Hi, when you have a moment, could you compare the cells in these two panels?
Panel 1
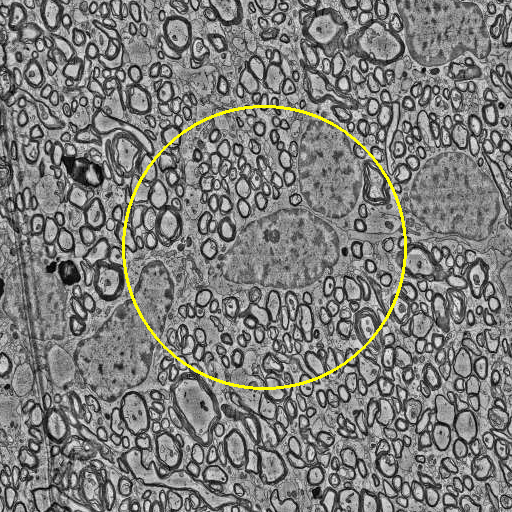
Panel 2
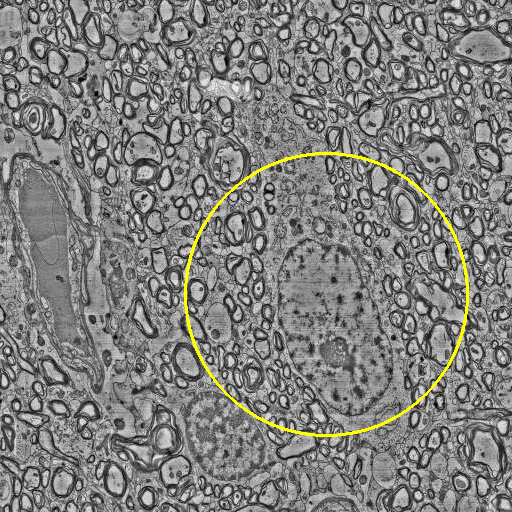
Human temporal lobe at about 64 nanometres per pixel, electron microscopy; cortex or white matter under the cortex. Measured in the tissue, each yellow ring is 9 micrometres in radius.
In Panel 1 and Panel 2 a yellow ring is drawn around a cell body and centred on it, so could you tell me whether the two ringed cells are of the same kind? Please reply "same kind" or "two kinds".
two kinds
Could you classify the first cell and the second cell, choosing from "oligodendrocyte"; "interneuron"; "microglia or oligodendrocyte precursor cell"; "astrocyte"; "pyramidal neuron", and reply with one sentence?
The second cell is an interneuron, while the first is an oligodendrocyte.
